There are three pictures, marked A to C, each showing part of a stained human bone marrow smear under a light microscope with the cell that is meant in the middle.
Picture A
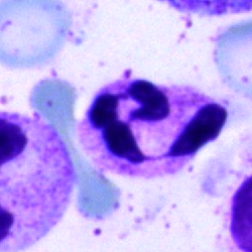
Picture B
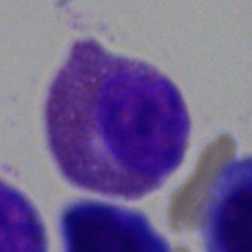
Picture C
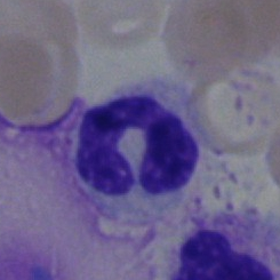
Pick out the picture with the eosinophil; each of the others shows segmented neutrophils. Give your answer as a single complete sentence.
The cell in picture B is the eosinophil.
